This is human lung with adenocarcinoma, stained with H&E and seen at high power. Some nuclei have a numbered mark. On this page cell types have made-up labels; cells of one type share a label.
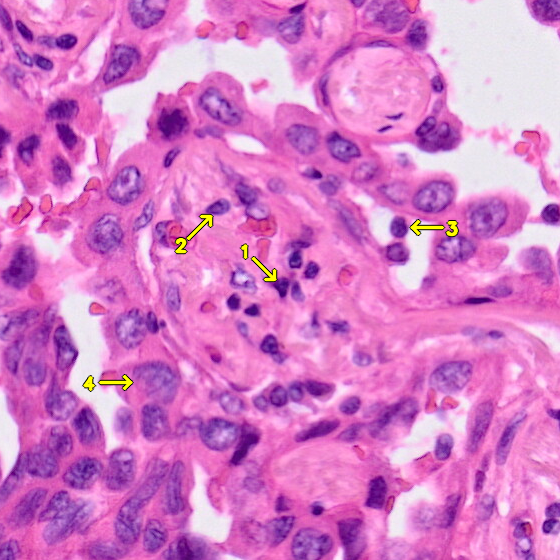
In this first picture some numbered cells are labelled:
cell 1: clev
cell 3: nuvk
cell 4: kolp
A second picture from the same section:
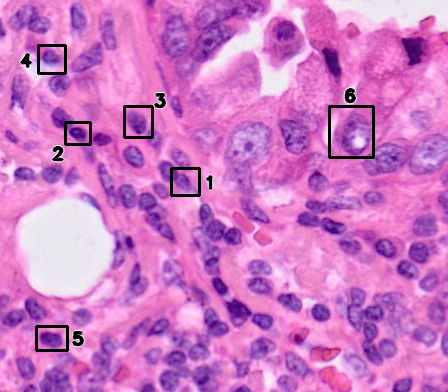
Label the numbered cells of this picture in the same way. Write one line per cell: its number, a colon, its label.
1: nuvk
2: nuvk
3: nuvk
4: clev
5: nuvk
6: kolp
